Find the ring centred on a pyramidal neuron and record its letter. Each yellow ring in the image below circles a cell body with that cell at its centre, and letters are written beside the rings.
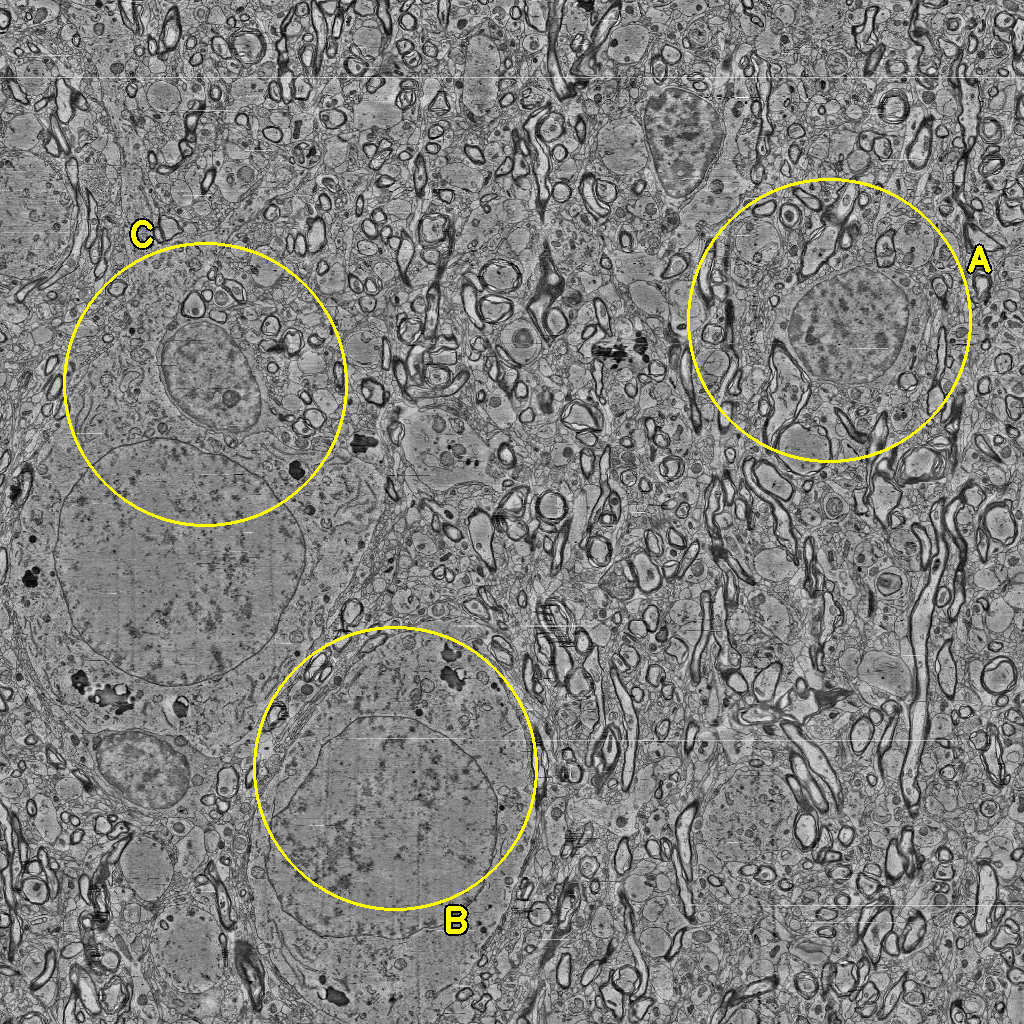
B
